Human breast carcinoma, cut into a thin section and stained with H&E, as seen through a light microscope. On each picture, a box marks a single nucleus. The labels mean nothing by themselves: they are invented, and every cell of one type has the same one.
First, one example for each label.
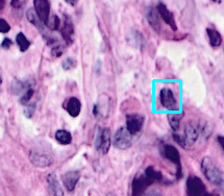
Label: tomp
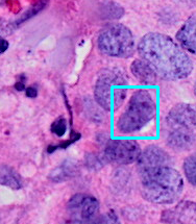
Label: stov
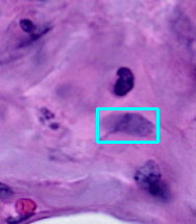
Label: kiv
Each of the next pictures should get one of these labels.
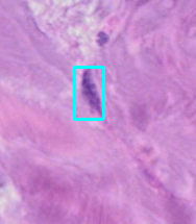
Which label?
kiv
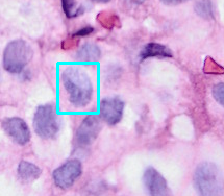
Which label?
stov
